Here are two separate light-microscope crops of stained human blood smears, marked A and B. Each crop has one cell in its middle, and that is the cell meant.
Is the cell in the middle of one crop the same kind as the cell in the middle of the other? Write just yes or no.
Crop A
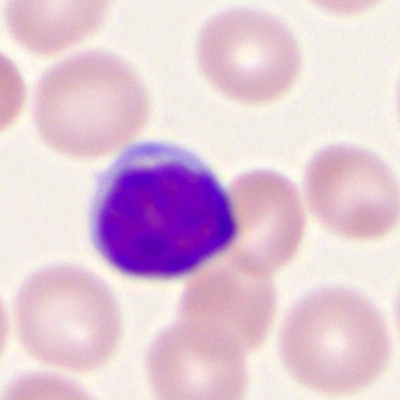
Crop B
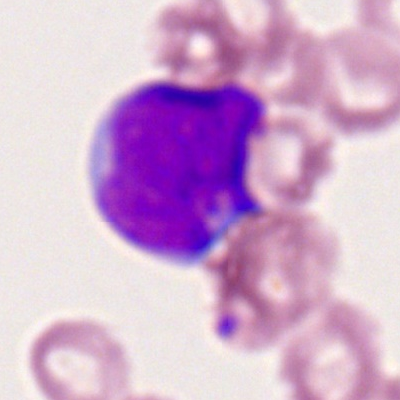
no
